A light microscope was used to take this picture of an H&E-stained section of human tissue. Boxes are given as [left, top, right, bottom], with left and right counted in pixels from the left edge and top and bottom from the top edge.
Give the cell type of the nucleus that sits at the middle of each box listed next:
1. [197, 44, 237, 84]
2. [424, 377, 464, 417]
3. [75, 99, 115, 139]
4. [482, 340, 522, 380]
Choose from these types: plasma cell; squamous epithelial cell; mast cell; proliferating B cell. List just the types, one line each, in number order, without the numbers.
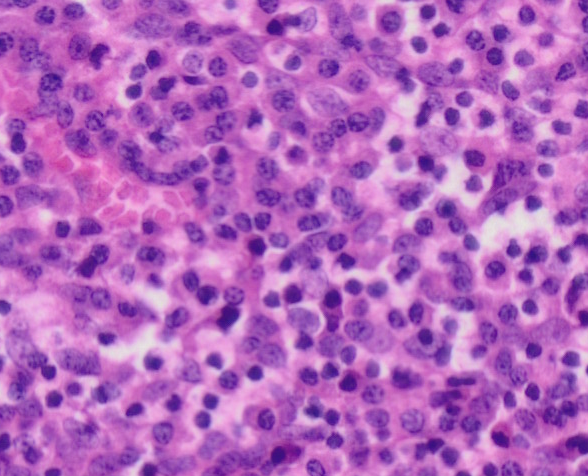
plasma cell
squamous epithelial cell
plasma cell
plasma cell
